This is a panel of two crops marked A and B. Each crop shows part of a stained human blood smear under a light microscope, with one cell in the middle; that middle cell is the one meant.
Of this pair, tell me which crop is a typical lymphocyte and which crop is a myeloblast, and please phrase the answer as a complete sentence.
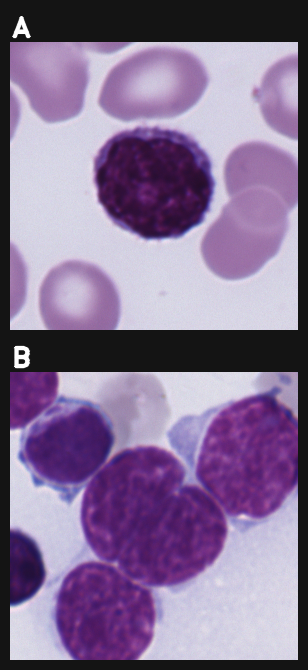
The cell centred in crop A is a typical lymphocyte, while the one centred in crop B is a myeloblast.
